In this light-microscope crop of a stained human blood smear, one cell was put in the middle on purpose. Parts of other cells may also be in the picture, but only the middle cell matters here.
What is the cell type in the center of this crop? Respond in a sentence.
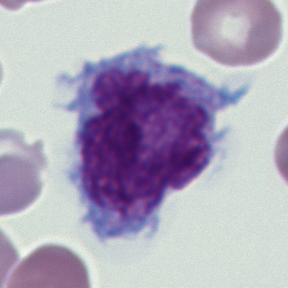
Where the crop is centred, there is a monocyte.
